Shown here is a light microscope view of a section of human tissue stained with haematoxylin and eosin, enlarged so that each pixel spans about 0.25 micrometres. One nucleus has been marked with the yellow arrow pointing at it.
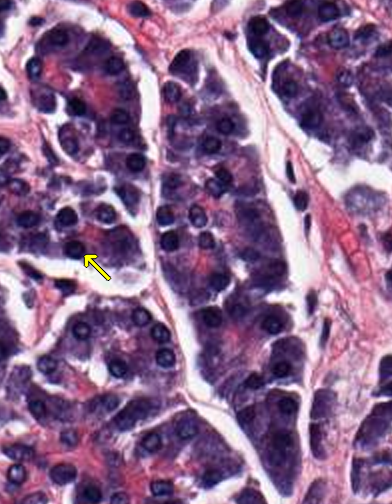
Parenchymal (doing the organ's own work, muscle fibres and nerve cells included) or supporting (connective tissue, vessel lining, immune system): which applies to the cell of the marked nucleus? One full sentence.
Here the marked nucleus belongs to a parenchymal cell, that is, a pancreatic acinar cell.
